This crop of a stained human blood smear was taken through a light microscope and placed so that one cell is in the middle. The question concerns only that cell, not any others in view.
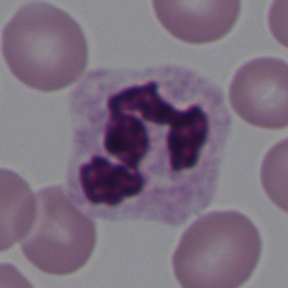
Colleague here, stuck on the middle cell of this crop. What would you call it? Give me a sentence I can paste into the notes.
The cell in the exact centre of the crop is a segmented neutrophil.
